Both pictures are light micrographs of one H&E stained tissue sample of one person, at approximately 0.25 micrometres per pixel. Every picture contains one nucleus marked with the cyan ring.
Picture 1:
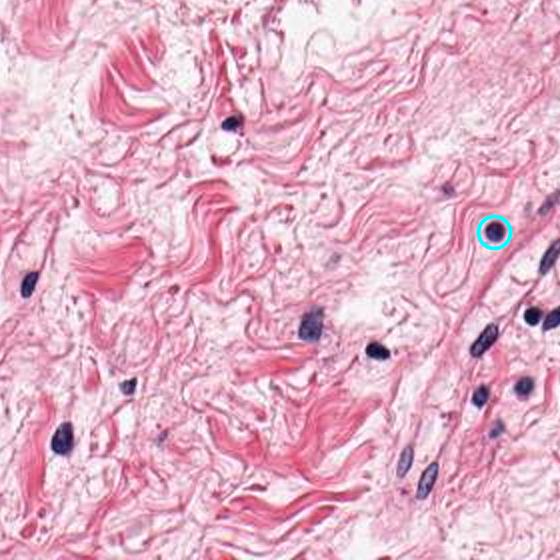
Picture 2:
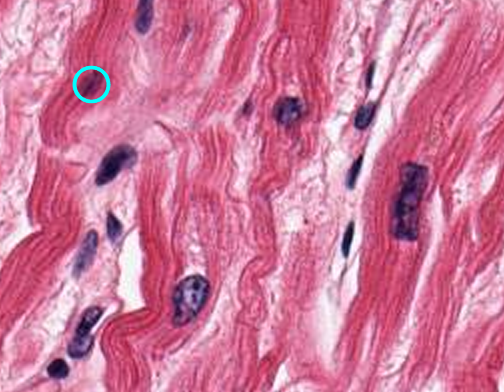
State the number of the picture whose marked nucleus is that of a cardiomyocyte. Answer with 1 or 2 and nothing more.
2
